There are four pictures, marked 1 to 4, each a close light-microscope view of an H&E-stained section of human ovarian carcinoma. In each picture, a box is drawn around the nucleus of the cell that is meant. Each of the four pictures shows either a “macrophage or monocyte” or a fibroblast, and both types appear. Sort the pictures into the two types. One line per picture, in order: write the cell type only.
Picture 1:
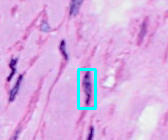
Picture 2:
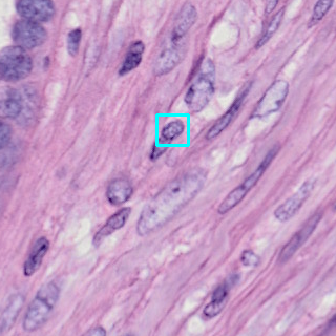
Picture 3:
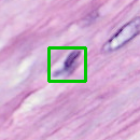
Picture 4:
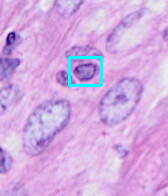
fibroblast
macrophage or monocyte
macrophage or monocyte
macrophage or monocyte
